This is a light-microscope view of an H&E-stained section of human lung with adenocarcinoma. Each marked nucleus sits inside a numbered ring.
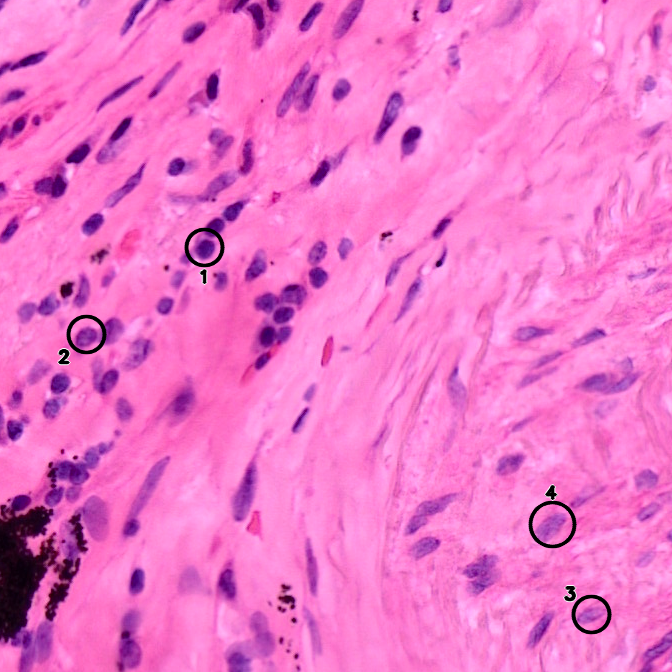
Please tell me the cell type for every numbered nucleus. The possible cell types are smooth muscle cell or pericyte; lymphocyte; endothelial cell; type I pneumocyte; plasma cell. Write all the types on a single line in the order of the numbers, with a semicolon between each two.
lymphocyte; lymphocyte; smooth muscle cell or pericyte; smooth muscle cell or pericyte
